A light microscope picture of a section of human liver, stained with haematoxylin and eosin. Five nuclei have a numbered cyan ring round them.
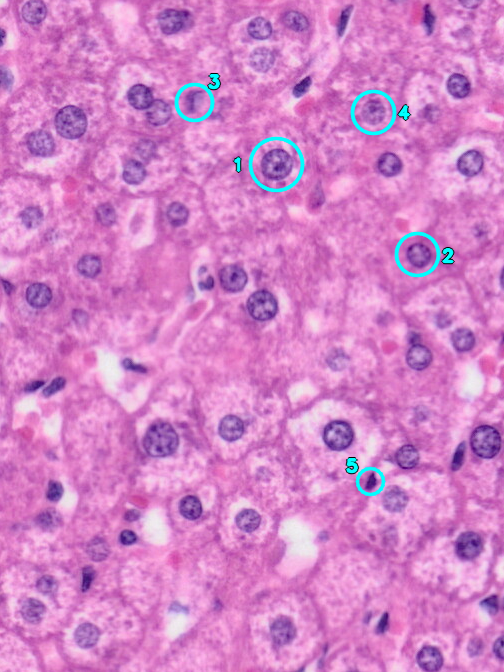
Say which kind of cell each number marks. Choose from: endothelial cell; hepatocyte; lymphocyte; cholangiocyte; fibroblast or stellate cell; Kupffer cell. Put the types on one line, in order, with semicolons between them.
hepatocyte; hepatocyte; endothelial cell; hepatocyte; fibroblast or stellate cell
